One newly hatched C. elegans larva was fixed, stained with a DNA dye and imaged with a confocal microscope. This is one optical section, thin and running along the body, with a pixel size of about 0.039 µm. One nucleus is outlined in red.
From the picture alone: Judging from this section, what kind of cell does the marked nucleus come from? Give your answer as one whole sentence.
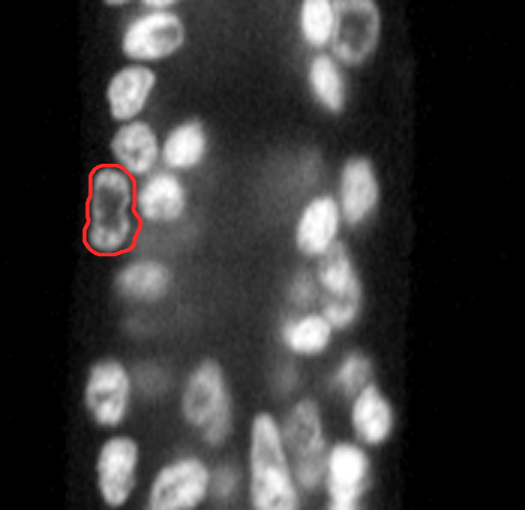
It is the nucleus of a hypodermal cell (hyp).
